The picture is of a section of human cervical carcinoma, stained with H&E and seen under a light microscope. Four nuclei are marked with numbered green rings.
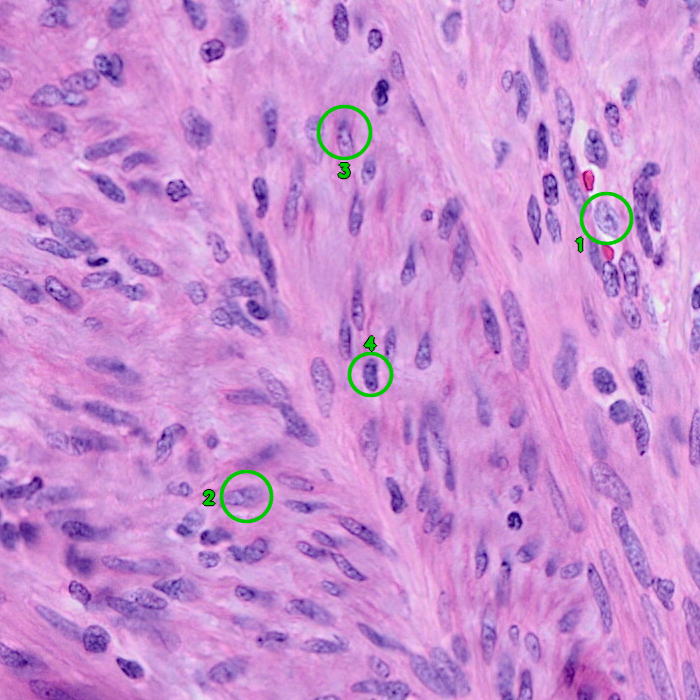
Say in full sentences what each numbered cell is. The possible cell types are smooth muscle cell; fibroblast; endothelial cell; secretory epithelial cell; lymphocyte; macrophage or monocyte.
Cell 1 is an endothelial cell. Cells 2 and 3 are smooth muscle cells. Cell 4 is a lymphocyte.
